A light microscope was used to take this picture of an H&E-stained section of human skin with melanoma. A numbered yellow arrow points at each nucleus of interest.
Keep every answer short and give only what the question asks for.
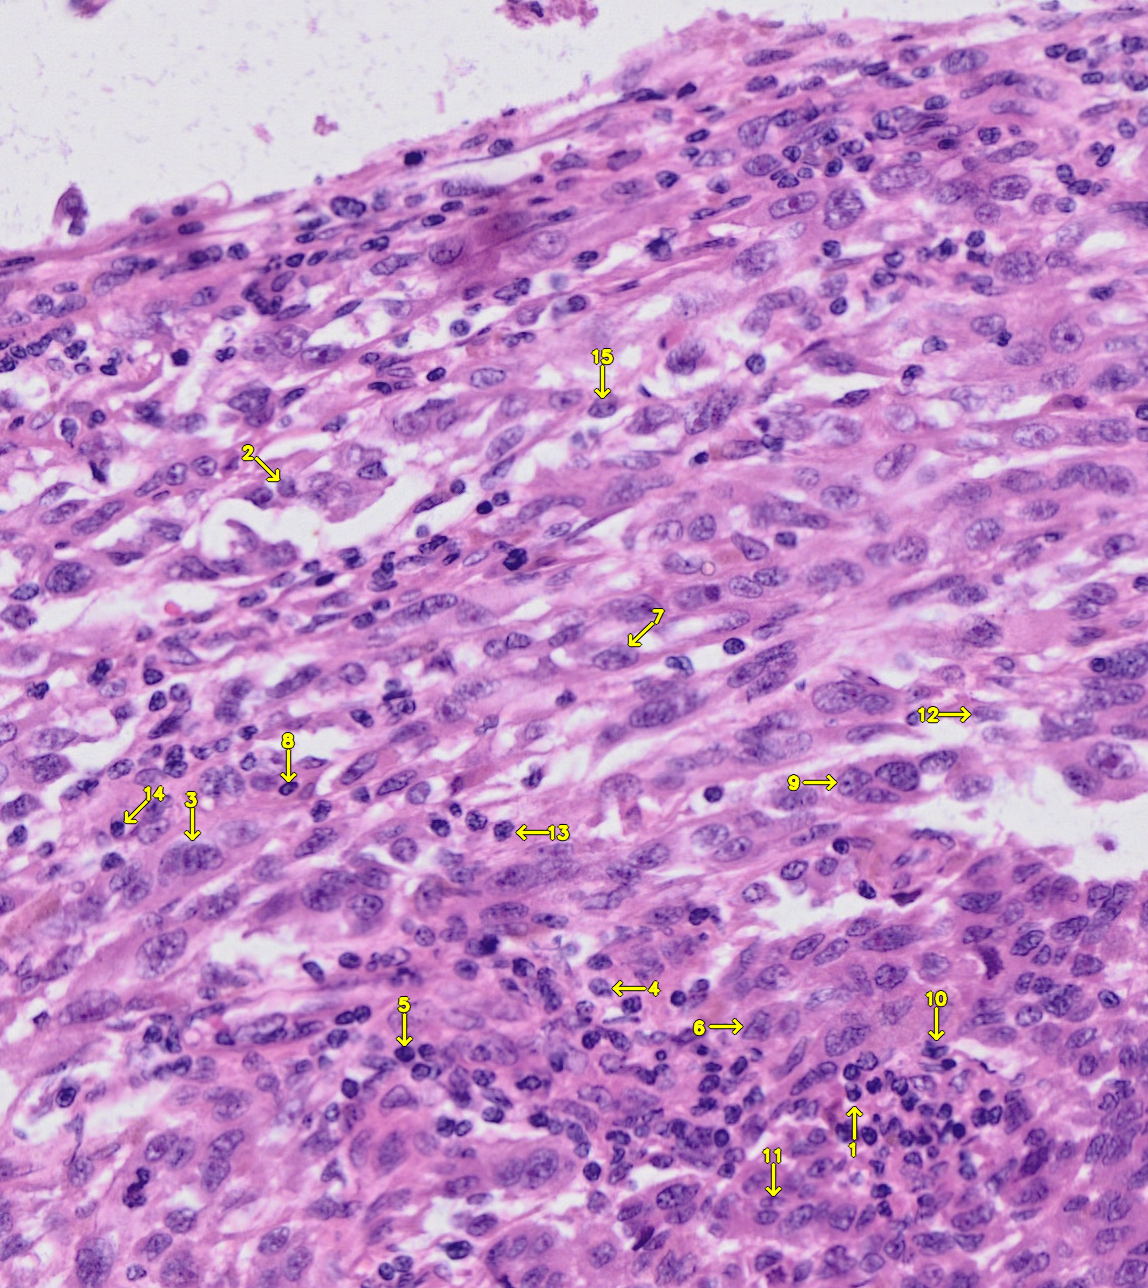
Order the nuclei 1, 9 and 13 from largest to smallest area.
9, 13, 1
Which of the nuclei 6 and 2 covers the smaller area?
2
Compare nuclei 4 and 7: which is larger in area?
7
